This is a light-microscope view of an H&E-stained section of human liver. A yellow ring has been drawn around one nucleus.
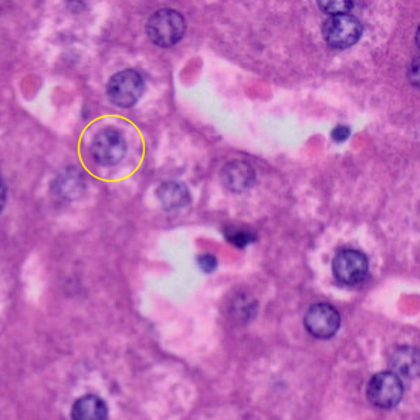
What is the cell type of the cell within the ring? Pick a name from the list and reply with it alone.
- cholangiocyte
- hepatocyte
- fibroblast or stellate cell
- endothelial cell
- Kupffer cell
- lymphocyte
hepatocyte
